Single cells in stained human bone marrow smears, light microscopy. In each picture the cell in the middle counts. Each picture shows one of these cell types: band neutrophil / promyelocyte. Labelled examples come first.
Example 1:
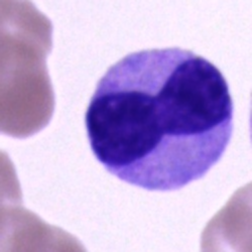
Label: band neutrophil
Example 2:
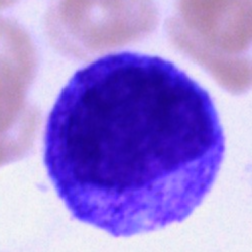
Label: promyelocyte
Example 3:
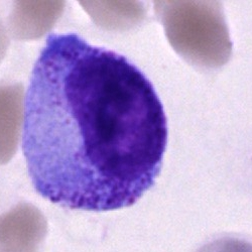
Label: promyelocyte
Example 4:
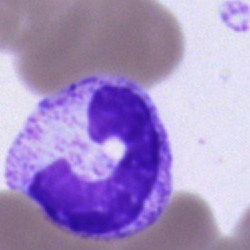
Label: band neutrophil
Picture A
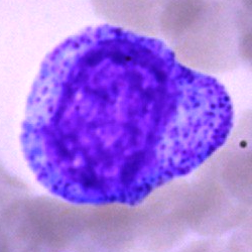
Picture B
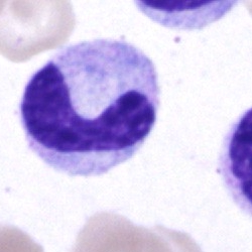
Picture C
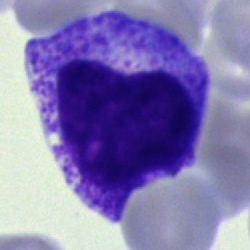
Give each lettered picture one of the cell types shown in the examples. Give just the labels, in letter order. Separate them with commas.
promyelocyte, band neutrophil, promyelocyte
